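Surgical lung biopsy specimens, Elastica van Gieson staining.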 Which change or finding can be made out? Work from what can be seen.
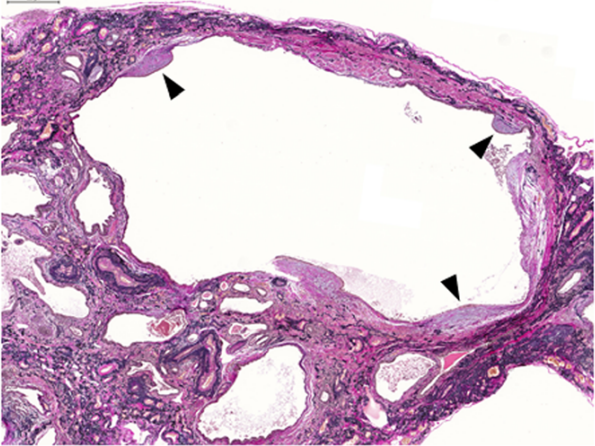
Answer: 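A large empty cystic airspace is bounded by a thick fibrous wall. Several smaller cystic spaces lie in densely scarred tissue around it. No normal thin-walled alveoli remain in the field.
Answer: extensive honeycomb changes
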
